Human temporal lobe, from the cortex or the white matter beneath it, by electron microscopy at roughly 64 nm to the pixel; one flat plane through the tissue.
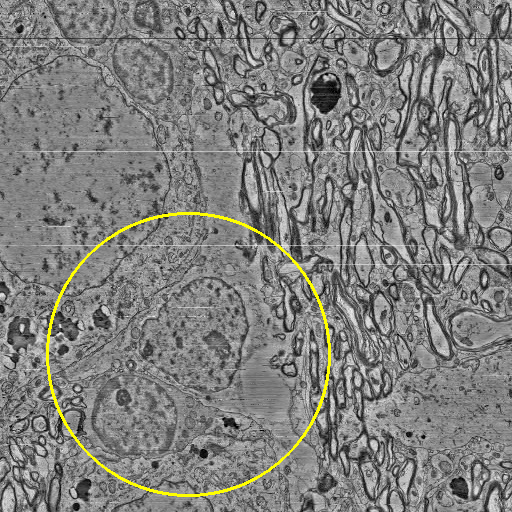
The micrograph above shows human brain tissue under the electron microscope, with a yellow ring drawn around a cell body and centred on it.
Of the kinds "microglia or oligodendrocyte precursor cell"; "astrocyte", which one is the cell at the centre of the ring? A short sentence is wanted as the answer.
The one at the centre of the ring is an astrocyte.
